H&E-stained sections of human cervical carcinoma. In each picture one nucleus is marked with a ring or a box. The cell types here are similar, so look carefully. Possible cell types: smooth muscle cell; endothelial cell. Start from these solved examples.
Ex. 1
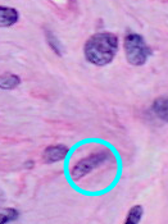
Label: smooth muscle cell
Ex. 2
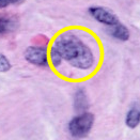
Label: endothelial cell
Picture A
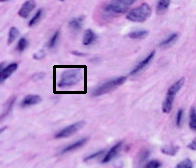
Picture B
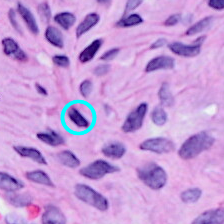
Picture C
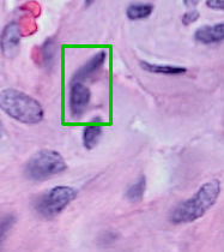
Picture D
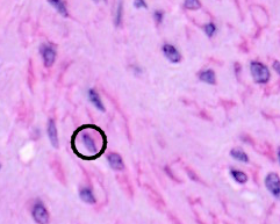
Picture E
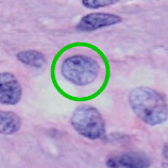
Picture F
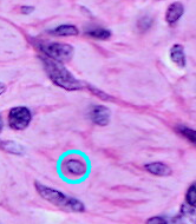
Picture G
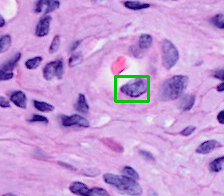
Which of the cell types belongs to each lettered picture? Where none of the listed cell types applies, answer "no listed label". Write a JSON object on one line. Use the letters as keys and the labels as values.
{"A": "no listed label", "B": "no listed label", "C": "no listed label", "D": "smooth muscle cell", "E": "endothelial cell", "F": "smooth muscle cell", "G": "endothelial cell"}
